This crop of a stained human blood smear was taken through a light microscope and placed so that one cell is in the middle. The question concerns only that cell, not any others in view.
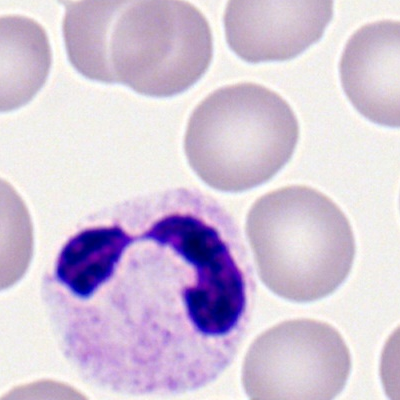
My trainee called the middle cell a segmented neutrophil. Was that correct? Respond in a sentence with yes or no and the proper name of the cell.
Yes, the cell at the middle of the field is to be classed as a segmented neutrophil.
